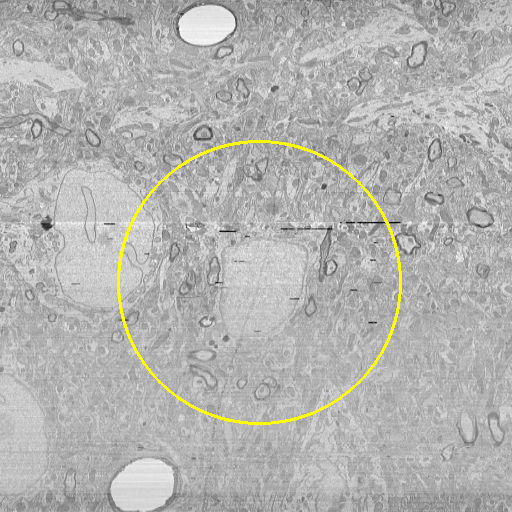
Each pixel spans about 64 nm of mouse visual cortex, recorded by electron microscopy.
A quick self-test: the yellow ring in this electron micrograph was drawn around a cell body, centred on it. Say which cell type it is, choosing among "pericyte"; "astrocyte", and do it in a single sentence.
The yellow-ringed cell is an astrocyte.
